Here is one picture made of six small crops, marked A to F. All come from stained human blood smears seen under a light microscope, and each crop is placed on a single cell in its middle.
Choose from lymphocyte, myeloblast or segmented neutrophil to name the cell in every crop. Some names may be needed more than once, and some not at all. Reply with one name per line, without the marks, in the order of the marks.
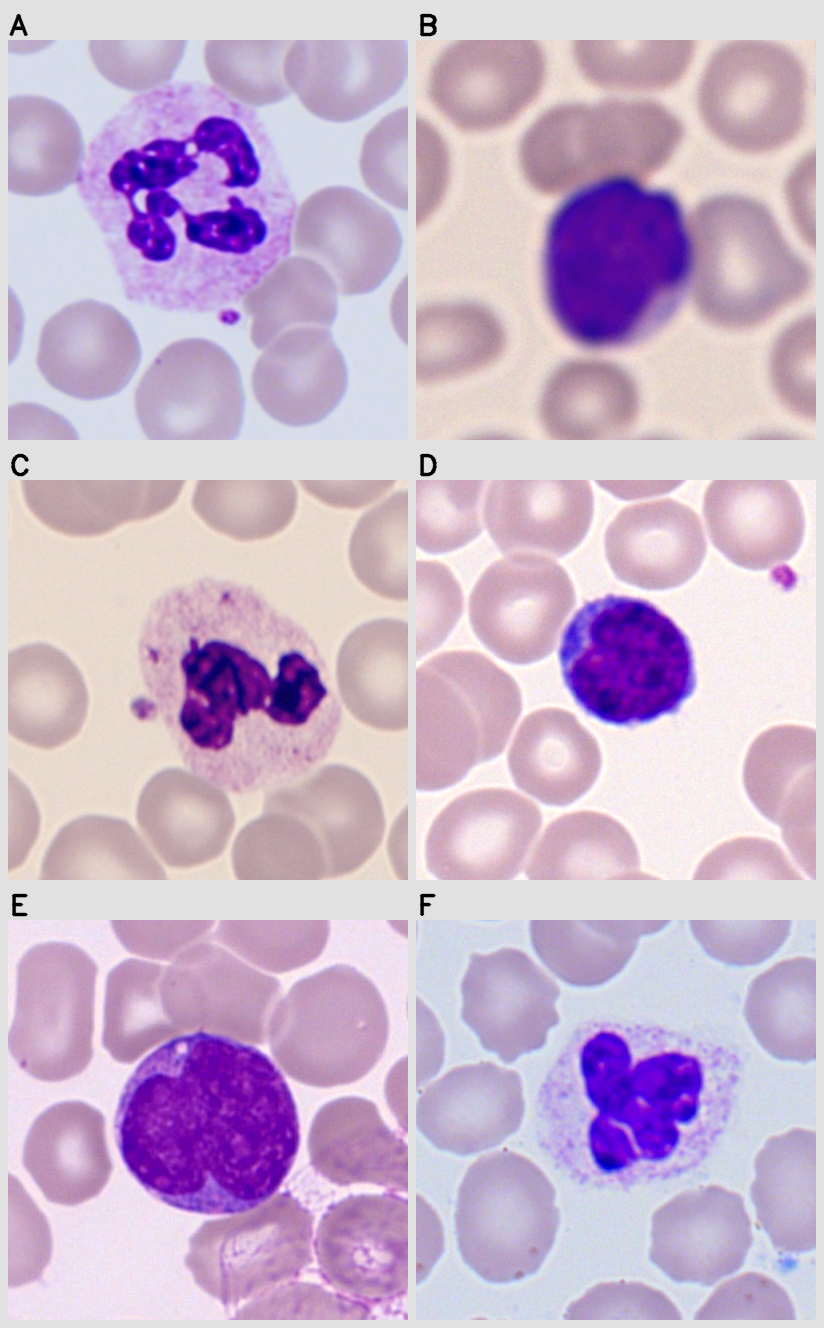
segmented neutrophil
myeloblast
segmented neutrophil
lymphocyte
myeloblast
segmented neutrophil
